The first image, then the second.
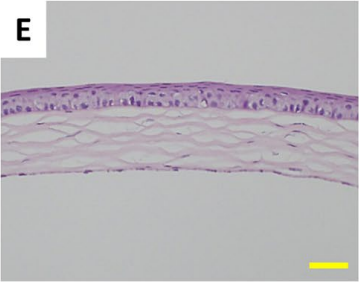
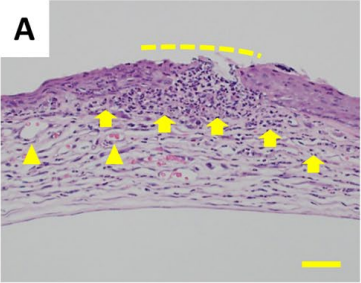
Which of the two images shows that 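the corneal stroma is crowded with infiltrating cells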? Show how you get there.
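First image: thin regular epithelium over a pale stroma with few sparse flat nuclei. Second image: thickened, disrupted surface with a dense band of dark nuclei and small vessels in the stroma. That points to this answer: the second image.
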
